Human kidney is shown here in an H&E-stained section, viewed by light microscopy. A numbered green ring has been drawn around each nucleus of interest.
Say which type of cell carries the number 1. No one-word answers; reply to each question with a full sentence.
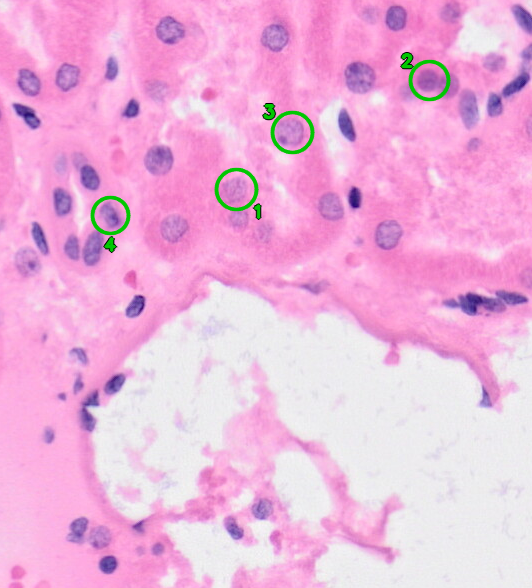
The nucleus labelled 1 belongs to a proximal tubule cell.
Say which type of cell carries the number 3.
The cell with the number 3 is a proximal tubule cell.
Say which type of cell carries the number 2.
The cell that bears the number 2 is a proximal tubule cell.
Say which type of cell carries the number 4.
Identified as a collecting duct cell is the cell bearing the number 4.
